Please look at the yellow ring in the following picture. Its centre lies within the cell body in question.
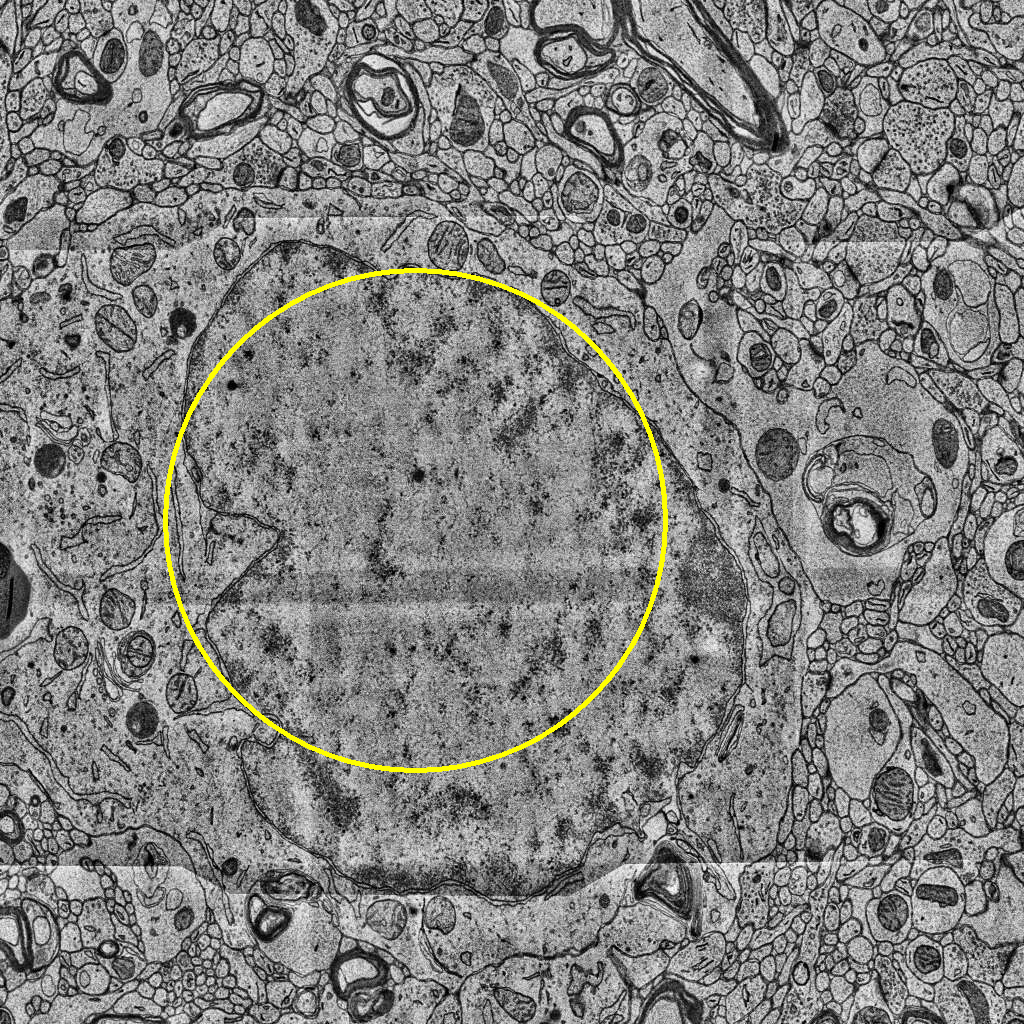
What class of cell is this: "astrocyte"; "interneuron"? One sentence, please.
The centre of the ring lies in the cell body of an interneuron.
